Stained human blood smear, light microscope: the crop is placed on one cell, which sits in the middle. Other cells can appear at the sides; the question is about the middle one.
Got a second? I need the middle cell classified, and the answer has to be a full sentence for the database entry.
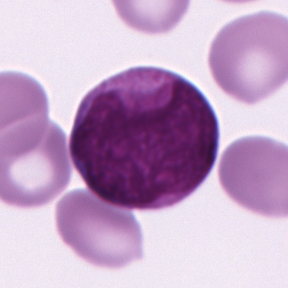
The cell shown in the center of this light-microscope crop is a myeloblast.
